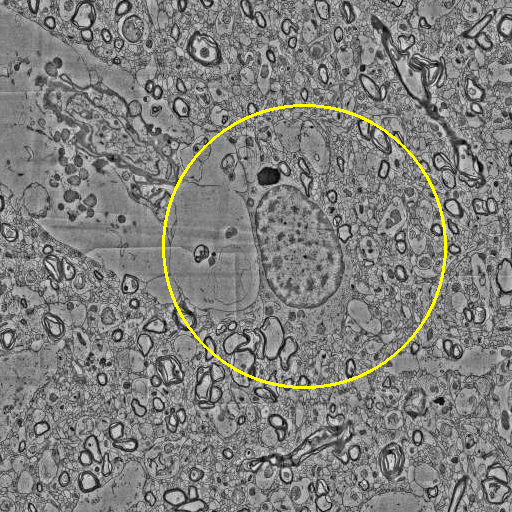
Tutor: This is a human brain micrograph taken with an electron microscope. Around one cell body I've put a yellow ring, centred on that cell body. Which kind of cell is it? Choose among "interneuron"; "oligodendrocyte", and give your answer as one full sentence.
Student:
Going by your list, the cell centred in the yellow ring is an oligodendrocyte.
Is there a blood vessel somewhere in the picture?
Yes, there is a blood vessel.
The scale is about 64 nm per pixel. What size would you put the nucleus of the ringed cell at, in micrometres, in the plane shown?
About 8 micrometres by about 5 micrometres in this plane.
